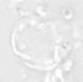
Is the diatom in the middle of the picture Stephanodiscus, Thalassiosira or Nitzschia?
It is Thalassiosira.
